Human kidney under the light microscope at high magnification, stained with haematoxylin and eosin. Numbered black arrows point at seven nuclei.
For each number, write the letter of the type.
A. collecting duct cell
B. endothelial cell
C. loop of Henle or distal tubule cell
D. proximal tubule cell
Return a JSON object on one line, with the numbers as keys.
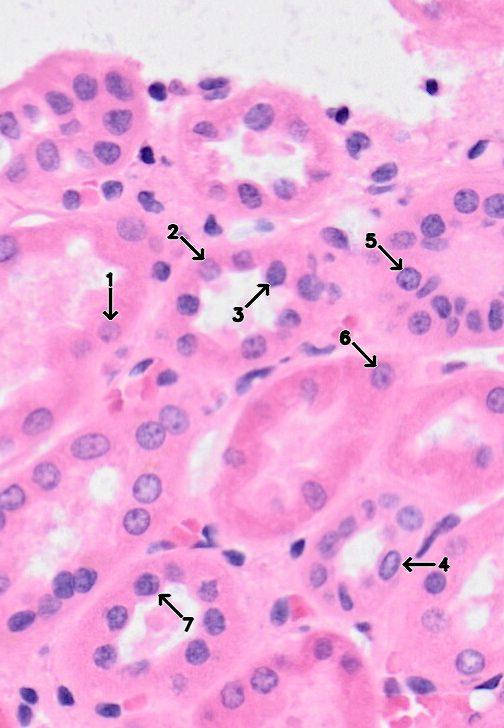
{"1": "D", "2": "C", "3": "C", "4": "A", "5": "A", "6": "D", "7": "C"}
